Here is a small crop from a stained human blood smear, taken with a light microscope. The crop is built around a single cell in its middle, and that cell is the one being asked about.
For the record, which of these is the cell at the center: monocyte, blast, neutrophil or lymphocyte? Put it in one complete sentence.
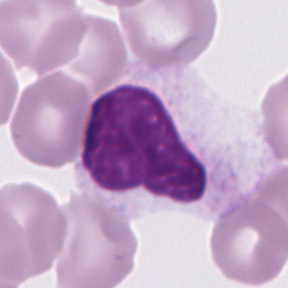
Standing at the centre of this crop is a neutrophil.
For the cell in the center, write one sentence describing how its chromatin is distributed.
The chromatin is fine; coarse clumps are not a feature here.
